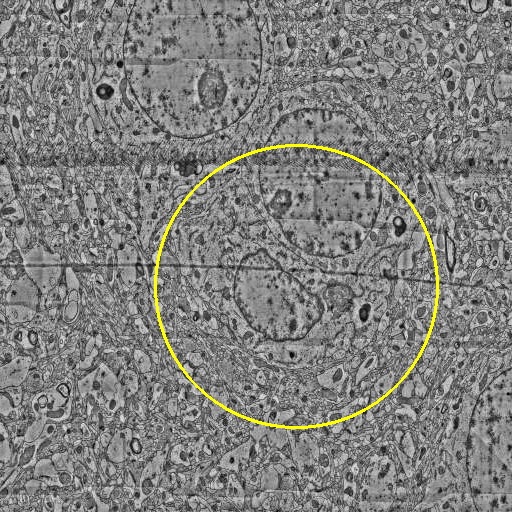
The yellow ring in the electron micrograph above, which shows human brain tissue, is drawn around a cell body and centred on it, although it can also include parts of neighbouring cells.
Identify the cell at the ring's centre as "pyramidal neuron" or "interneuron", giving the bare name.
pyramidal neuron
